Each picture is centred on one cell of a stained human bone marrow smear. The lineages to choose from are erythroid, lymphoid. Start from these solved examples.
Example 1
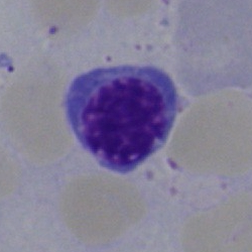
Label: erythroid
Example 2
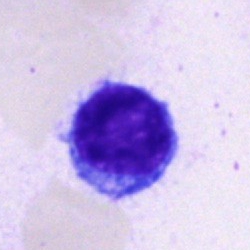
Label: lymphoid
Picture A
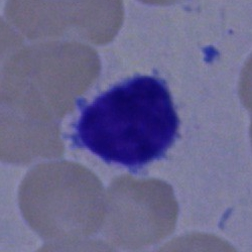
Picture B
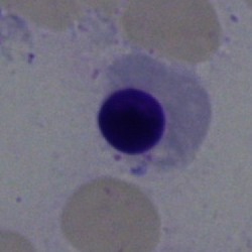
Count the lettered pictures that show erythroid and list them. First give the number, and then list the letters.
1: B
